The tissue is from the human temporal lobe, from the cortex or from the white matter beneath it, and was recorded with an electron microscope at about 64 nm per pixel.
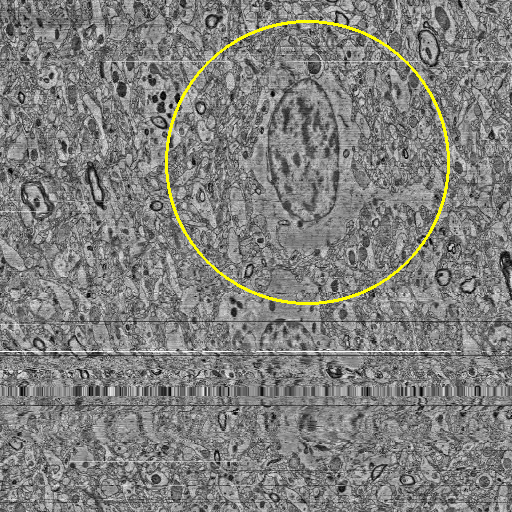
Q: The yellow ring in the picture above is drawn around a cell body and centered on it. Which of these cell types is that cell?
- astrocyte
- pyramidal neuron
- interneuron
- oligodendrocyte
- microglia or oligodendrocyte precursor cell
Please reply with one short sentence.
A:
The cell body at the ring's center belongs to an astrocyte.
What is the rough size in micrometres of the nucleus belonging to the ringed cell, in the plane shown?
In this plane, about 10 by 5 micrometres: the nucleus is clearly longer than it is wide.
